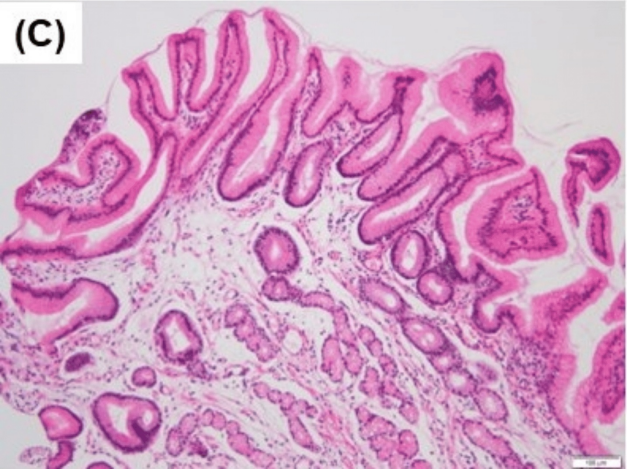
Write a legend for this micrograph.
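This is gastric antral mucosa with elongated, winding surface pits lined by tall columnar foveolar cells. The foveolar cells carry a band of pale pink apical mucin above small, dark, basally placed nuclei. The pits are long and tortuous, reaching deep into the mucosa, a picture of foveolar hyperplasia. Below them lie smaller, rounded mucous glands cut in cross section. The lamina propria between the pits is loose and pale, with few inflammatory cells.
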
